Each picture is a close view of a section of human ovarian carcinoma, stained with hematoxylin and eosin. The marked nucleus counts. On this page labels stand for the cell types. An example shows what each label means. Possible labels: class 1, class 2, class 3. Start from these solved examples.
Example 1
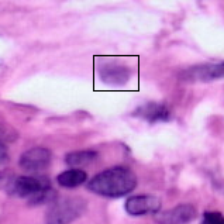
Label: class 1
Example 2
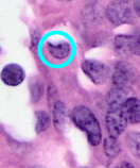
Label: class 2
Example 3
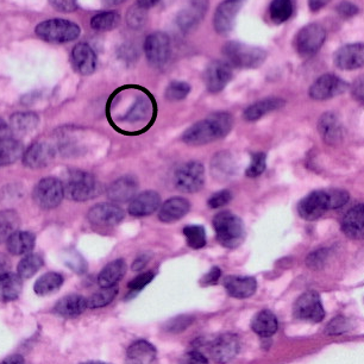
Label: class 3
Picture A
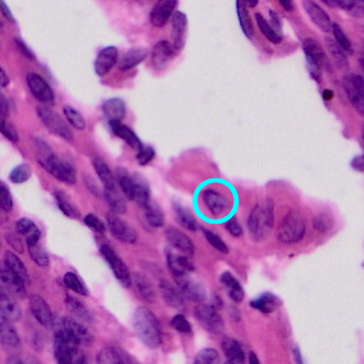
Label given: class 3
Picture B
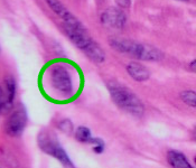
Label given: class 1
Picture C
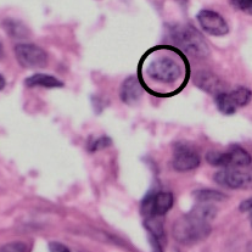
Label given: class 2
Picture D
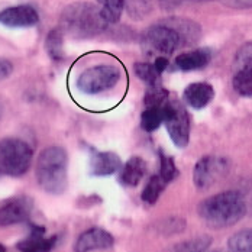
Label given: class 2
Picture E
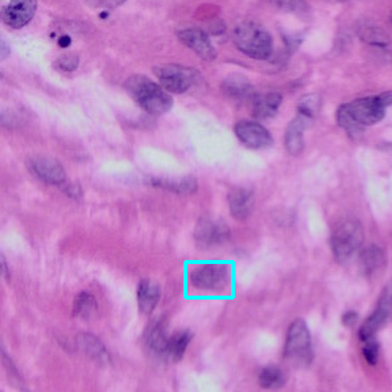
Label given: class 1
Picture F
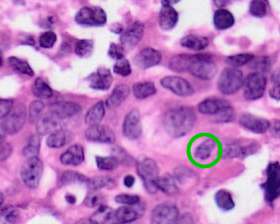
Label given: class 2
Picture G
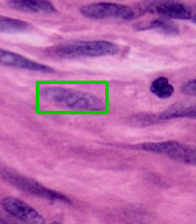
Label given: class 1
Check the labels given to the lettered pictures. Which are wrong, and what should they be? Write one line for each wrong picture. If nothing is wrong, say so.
All correct.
